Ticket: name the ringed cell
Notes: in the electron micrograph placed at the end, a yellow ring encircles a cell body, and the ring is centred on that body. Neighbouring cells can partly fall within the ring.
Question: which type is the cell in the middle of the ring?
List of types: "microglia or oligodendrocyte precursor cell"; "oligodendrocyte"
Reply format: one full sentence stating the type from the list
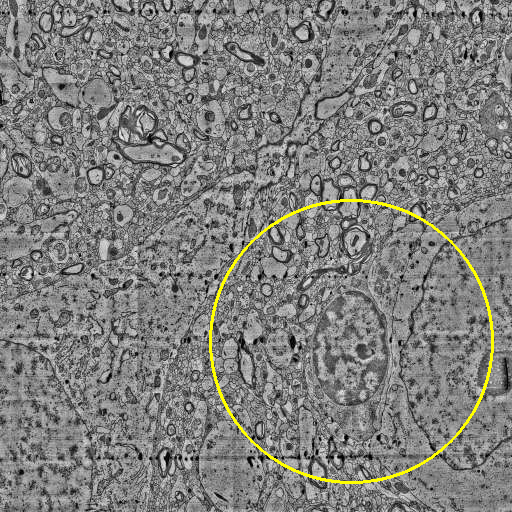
The cell sitting at the centre of the yellow ring is an oligodendrocyte.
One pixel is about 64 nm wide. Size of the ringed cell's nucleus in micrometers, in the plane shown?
Clearly longer than it is wide in this plane, the nucleus measures roughly 7 by 5 micrometres.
